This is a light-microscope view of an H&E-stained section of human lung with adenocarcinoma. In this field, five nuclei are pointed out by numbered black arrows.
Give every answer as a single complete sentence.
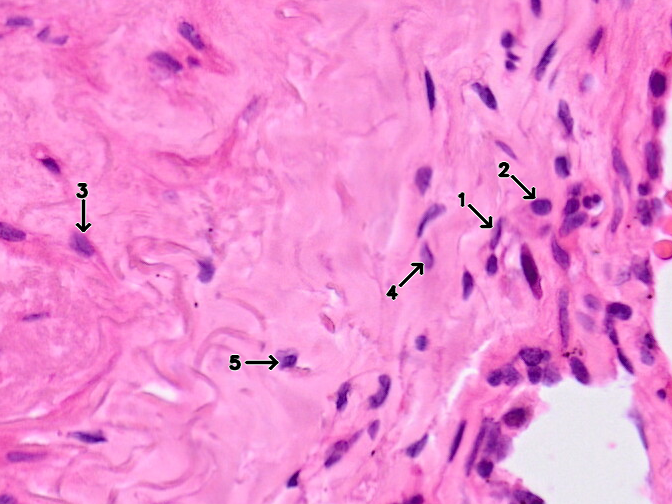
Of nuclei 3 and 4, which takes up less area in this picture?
It is nucleus 4; nucleus 3 has about 2.5 times its area.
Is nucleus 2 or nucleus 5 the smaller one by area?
Number 5 is smaller, since number 2 takes up about 1.5 times as much area.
